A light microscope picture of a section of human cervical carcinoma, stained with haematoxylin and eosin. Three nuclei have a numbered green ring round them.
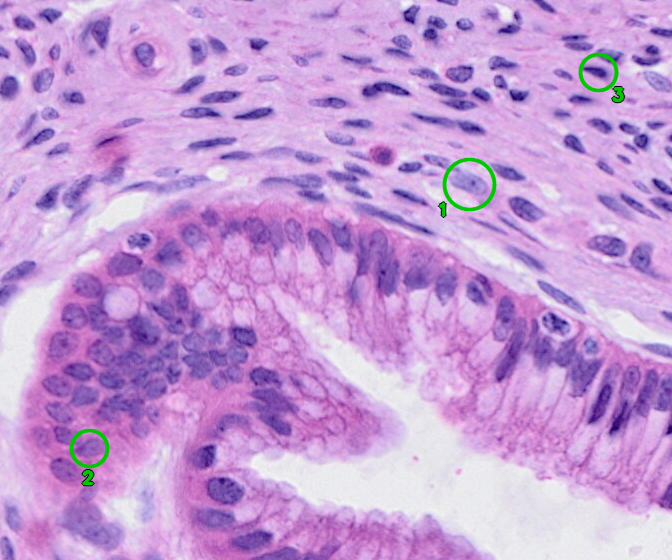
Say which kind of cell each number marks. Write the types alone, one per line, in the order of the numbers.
fibroblast
secretory epithelial cell
fibroblast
